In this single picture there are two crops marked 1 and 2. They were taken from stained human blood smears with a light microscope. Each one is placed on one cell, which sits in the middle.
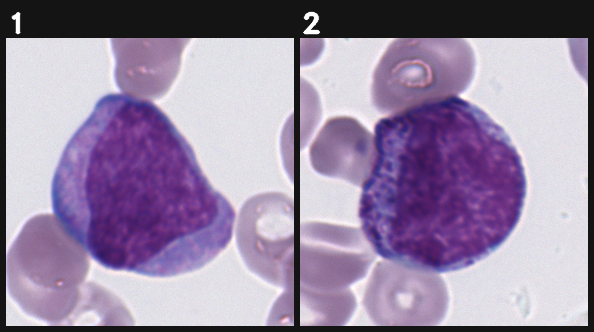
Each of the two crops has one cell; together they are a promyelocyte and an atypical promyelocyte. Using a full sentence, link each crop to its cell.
The cell at the middle is an atypical promyelocyte in crop 1, but a promyelocyte in crop 2.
